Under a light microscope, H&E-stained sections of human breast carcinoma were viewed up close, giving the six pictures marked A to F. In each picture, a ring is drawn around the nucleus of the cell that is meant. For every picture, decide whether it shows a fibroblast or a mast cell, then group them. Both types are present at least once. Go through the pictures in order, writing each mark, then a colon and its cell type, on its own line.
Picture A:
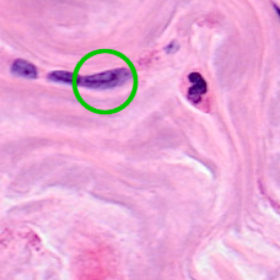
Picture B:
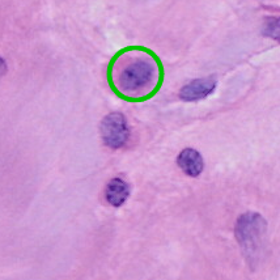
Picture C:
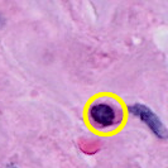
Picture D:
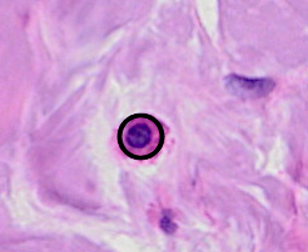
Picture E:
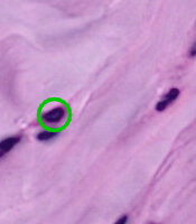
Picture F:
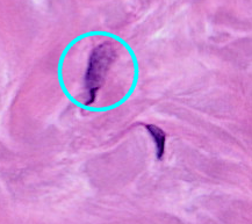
A: fibroblast
B: mast cell
C: mast cell
D: mast cell
E: mast cell
F: fibroblast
